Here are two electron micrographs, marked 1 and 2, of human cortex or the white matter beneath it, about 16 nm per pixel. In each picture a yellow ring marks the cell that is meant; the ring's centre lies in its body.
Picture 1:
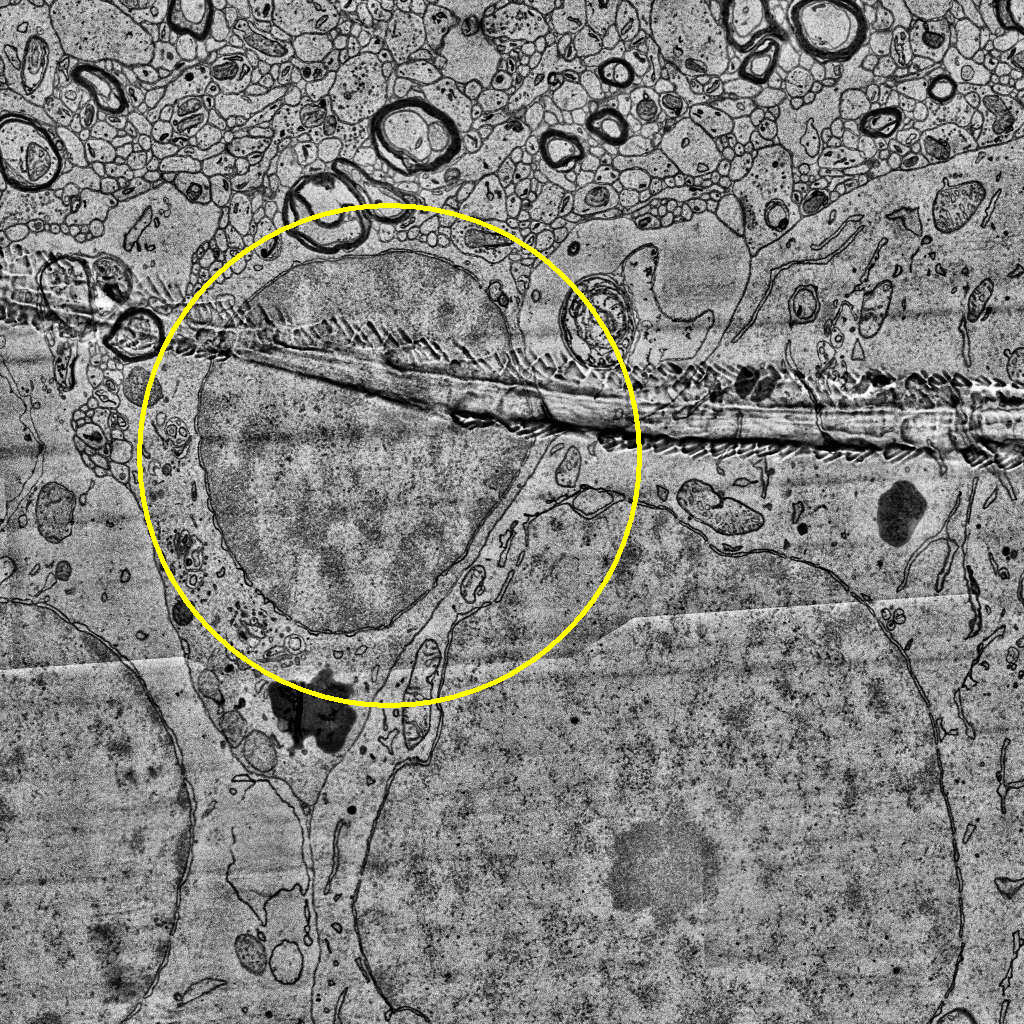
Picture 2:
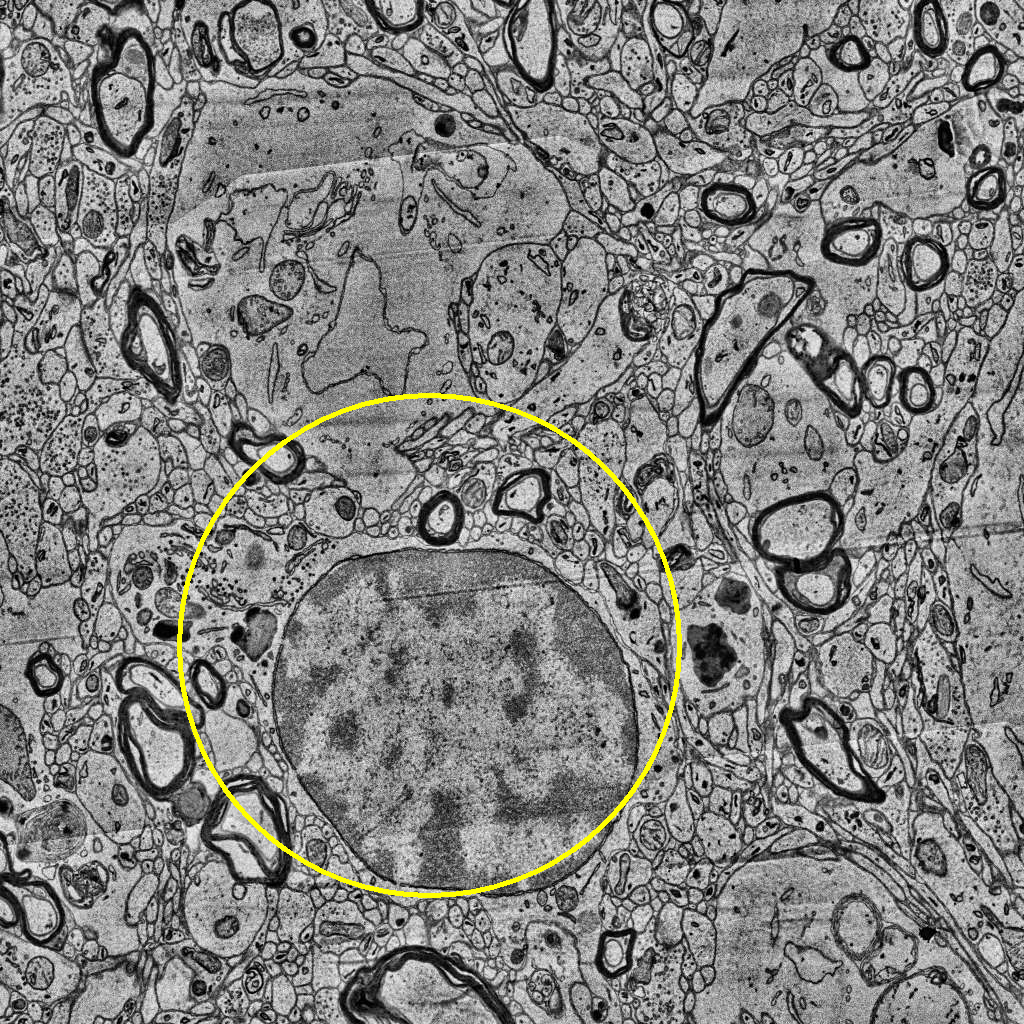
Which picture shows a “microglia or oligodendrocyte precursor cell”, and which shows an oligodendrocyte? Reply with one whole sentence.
The cell in picture 1 is an oligodendrocyte, and the one in picture 2 is a “microglia or oligodendrocyte precursor cell”.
